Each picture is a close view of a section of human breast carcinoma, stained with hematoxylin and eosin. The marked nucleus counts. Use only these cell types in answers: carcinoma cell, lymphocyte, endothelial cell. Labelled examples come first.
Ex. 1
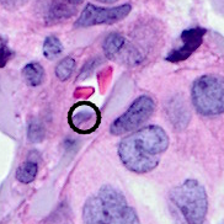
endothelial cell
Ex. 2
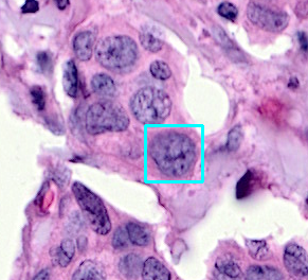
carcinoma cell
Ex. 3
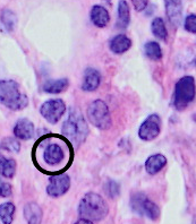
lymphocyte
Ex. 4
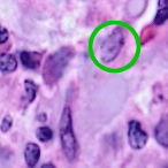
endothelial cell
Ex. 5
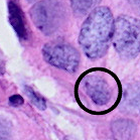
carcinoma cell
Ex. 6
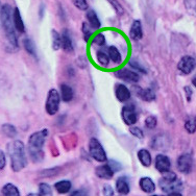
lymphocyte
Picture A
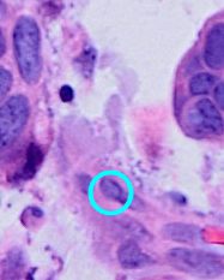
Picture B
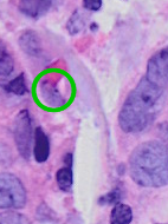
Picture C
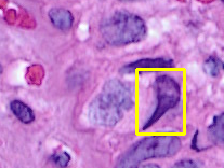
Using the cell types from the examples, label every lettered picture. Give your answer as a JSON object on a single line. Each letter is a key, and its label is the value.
{"A": "endothelial cell", "B": "endothelial cell", "C": "carcinoma cell"}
